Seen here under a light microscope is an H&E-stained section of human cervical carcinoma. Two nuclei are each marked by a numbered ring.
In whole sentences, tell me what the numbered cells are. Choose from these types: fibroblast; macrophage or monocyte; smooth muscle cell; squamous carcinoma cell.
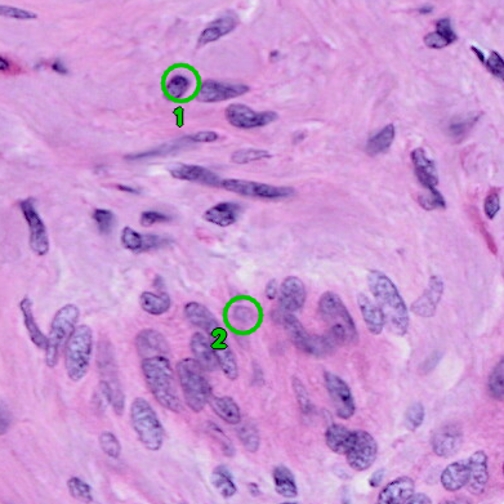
Cell 1 is a fibroblast. Cell 2 is a smooth muscle cell.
